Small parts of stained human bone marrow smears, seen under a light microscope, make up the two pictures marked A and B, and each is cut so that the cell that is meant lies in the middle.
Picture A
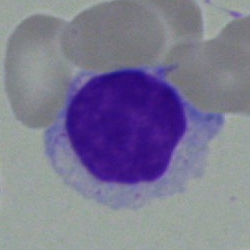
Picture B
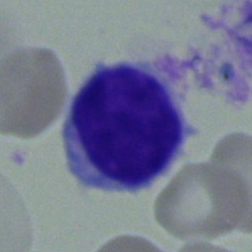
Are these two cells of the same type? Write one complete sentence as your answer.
Yes, they are the same type: both are lymphocytes.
